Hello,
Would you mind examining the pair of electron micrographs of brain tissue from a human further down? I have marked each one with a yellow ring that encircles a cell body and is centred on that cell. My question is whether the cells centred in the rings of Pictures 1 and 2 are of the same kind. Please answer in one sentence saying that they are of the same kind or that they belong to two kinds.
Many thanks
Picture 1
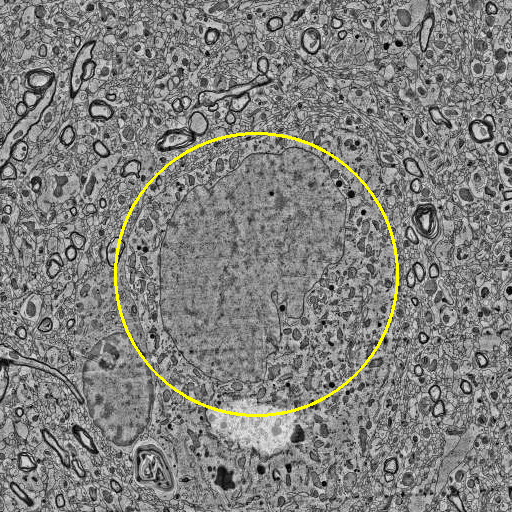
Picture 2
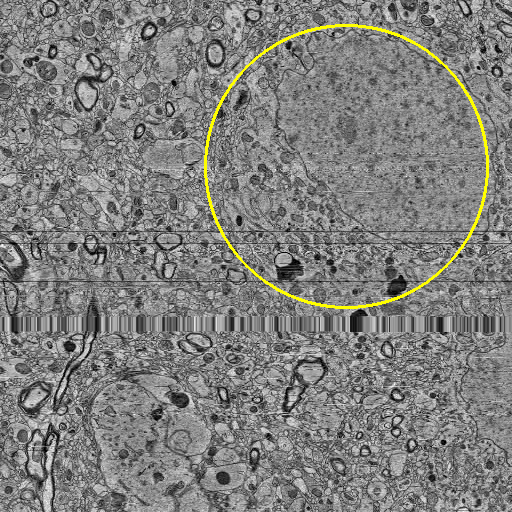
In Pictures 1 and 2, the cells at the heart of the rings are of the same kind.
